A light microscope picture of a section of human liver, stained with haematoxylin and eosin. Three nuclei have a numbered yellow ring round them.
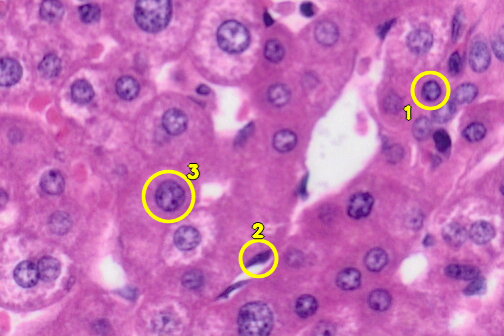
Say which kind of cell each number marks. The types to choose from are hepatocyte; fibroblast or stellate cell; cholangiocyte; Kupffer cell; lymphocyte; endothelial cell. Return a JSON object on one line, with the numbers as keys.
{"1": "cholangiocyte", "2": "fibroblast or stellate cell", "3": "hepatocyte"}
